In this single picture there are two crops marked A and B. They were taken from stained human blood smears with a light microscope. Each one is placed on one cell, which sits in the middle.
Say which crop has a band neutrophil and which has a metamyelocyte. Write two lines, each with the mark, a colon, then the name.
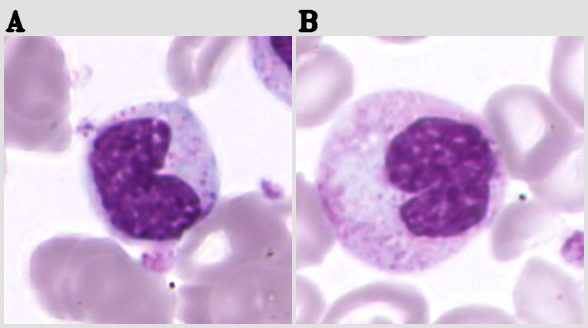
A: metamyelocyte
B: band neutrophil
